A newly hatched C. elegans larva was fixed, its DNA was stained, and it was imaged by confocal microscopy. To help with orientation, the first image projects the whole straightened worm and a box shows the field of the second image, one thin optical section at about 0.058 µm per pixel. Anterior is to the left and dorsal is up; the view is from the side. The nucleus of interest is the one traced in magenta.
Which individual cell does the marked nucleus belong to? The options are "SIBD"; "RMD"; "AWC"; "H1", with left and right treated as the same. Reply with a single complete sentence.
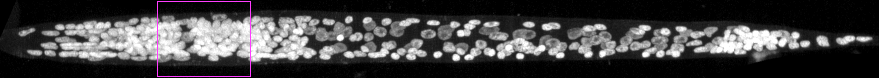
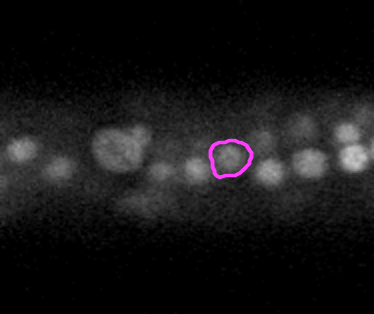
The marked cell is AWC, a neuron.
